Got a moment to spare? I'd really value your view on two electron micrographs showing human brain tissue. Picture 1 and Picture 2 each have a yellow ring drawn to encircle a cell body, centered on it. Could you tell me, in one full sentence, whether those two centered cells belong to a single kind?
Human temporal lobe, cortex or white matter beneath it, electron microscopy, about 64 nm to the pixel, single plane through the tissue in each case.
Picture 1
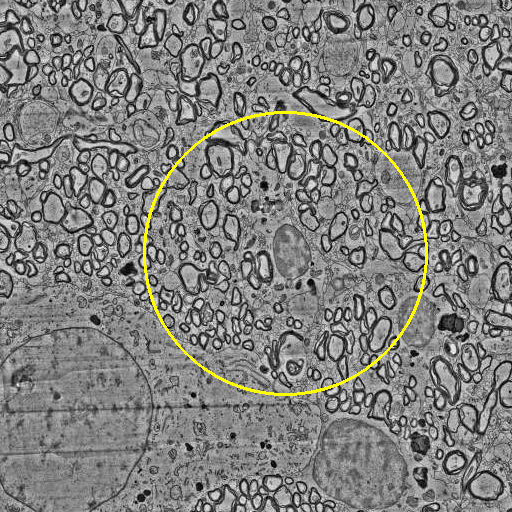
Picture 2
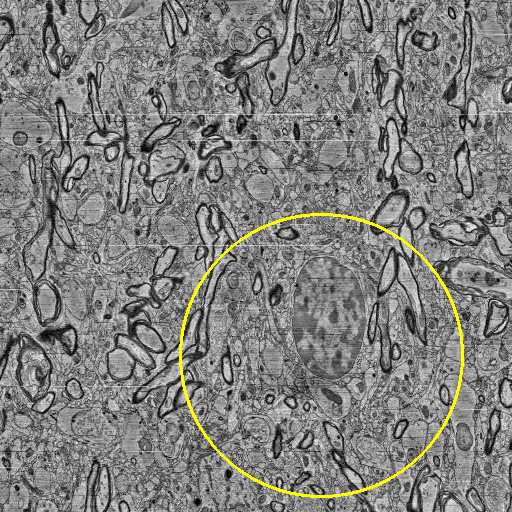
Yes, the two centered cells in Picture 1 and Picture 2 are of a single kind.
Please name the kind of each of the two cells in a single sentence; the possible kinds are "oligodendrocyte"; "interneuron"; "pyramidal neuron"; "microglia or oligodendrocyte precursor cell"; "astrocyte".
Each cell at the centre of a ring is a microglial cell or oligodendrocyte precursor cell.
